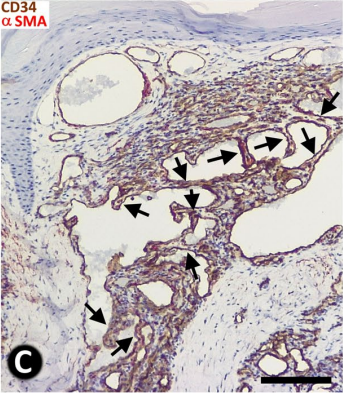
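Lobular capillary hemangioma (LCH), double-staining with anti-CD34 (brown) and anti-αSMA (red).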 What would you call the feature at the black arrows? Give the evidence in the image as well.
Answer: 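Arrows point at thin partitions projecting into wide vascular spaces. The partitions do not fully divide the spaces.
Conclusion: incomplete septa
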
